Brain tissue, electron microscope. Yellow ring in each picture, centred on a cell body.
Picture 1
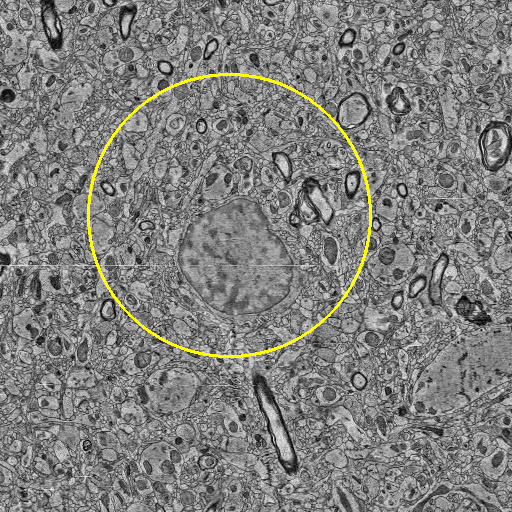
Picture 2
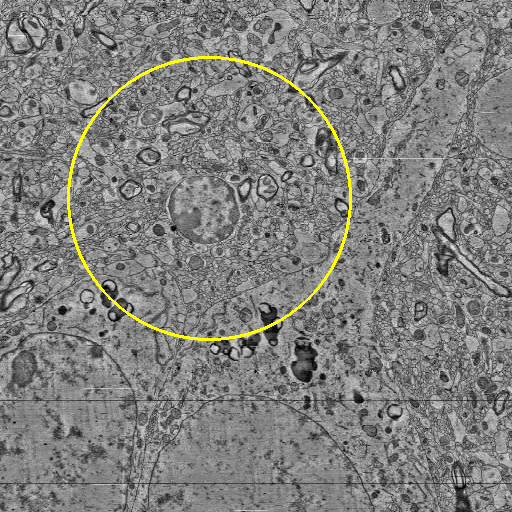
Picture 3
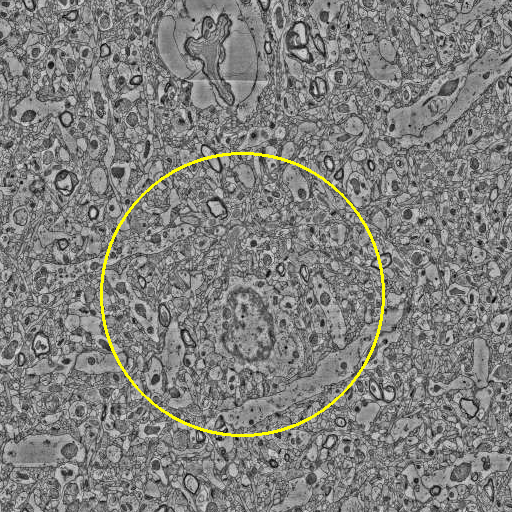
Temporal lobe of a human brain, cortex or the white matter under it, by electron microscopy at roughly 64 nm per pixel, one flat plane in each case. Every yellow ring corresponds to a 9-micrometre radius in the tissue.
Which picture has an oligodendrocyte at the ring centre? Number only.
1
